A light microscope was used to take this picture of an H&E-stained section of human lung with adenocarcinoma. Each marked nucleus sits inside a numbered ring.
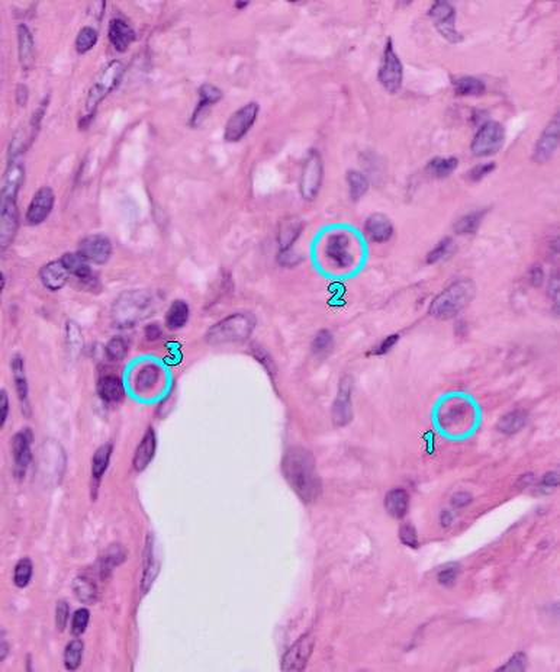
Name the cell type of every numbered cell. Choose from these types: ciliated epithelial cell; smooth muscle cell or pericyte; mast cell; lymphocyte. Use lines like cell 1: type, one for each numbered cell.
cell 1: smooth muscle cell or pericyte
cell 2: lymphocyte
cell 3: mast cell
